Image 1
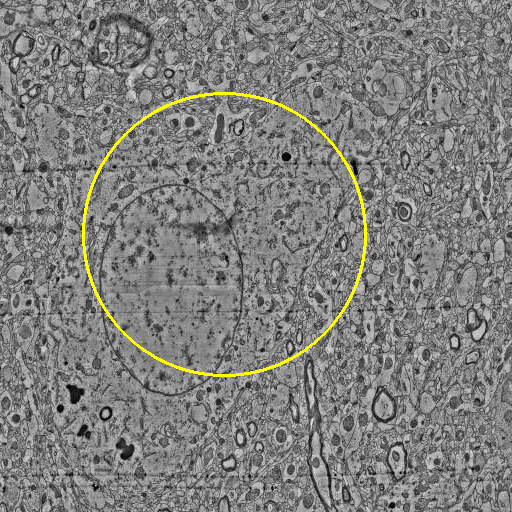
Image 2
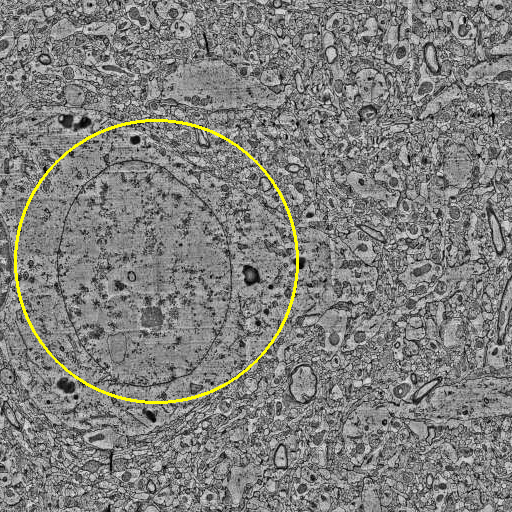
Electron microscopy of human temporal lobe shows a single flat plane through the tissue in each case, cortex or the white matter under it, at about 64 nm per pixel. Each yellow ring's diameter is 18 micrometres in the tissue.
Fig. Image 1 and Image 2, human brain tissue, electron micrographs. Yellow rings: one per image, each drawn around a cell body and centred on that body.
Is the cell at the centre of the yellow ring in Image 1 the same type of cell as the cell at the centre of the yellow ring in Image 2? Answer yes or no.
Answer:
yes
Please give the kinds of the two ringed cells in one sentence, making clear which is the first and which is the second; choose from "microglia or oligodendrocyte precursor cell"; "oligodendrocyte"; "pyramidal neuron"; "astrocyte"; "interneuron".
Each one of the two ringed cells is a pyramidal neuron.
